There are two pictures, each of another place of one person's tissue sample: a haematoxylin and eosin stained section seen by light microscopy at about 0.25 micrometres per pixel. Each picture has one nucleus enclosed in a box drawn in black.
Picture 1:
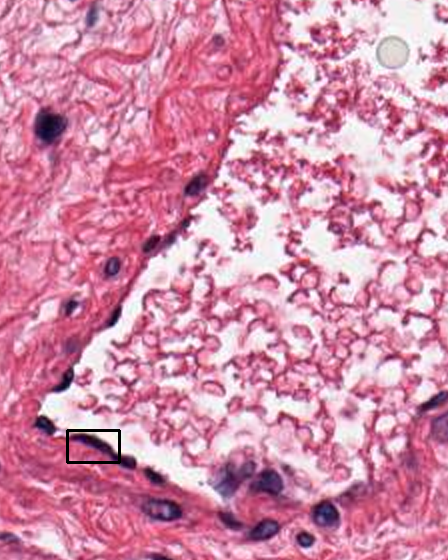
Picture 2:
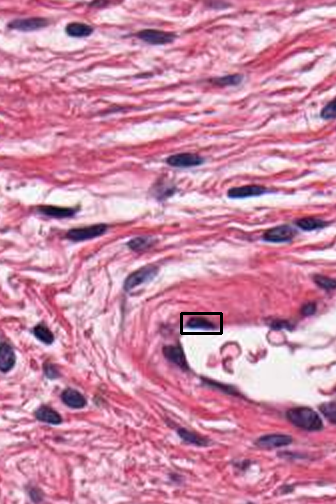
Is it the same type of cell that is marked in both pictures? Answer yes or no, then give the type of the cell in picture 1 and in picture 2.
Yes, both are endothelial cells.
